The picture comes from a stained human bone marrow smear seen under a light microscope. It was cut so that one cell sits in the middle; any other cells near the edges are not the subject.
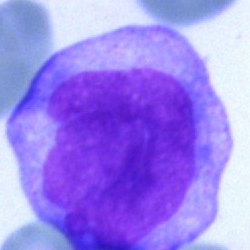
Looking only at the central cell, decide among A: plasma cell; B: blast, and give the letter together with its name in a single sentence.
Here the central cell is a blast, and option B is correct.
